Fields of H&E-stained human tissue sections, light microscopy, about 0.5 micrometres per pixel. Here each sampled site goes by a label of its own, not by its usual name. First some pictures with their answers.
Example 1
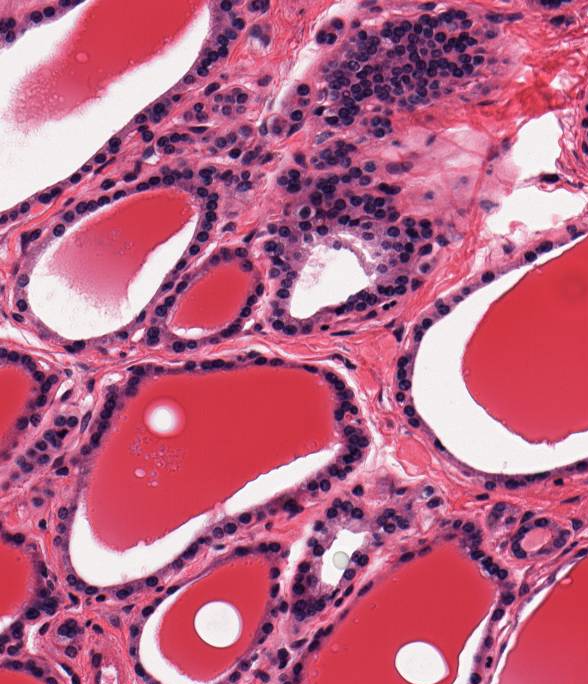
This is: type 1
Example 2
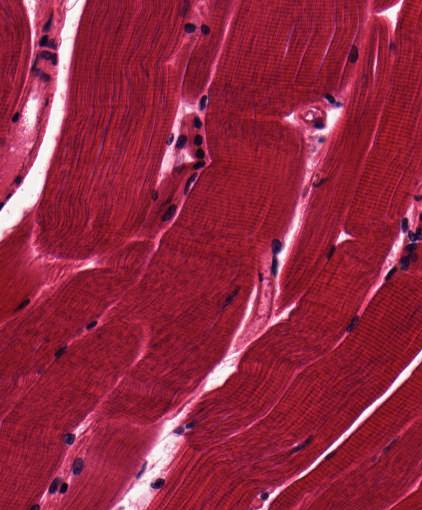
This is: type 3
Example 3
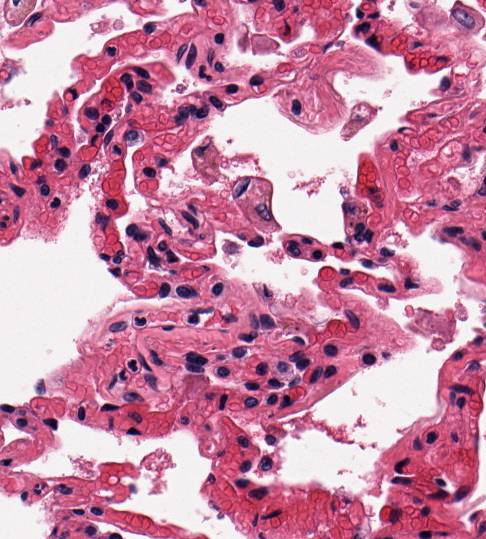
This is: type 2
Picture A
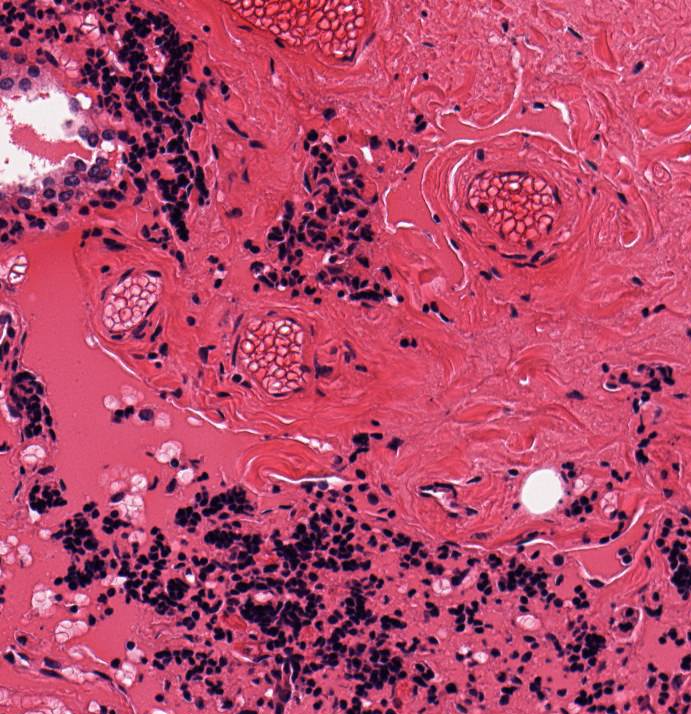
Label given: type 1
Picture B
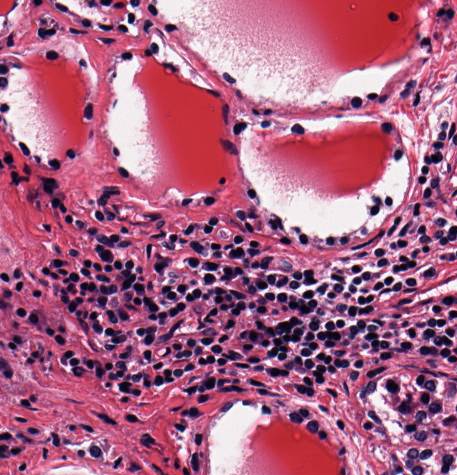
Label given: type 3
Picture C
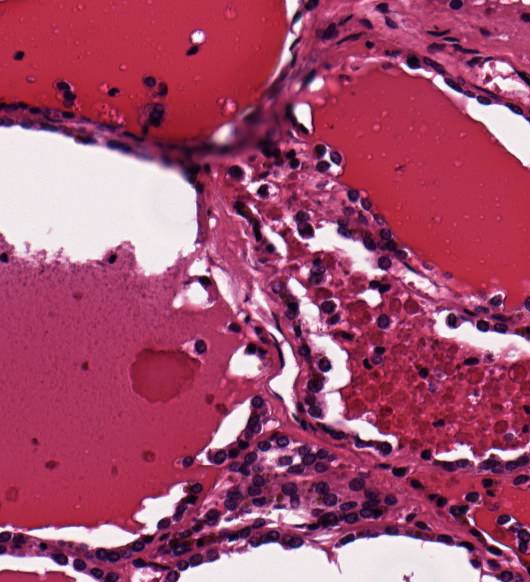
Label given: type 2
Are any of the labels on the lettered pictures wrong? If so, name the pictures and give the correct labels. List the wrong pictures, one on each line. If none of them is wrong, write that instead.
B: type 1, not type 3
C: type 1, not type 2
